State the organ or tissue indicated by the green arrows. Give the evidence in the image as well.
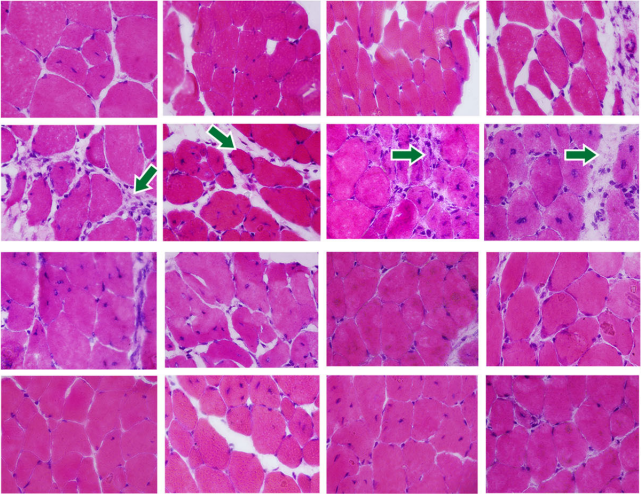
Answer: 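The arrows point to the spaces between pink polygonal muscle fibres. These spaces hold pale strands with small dark elongated nuclei. The answer: connective tissue.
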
